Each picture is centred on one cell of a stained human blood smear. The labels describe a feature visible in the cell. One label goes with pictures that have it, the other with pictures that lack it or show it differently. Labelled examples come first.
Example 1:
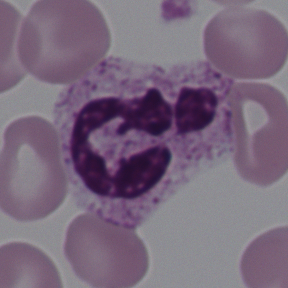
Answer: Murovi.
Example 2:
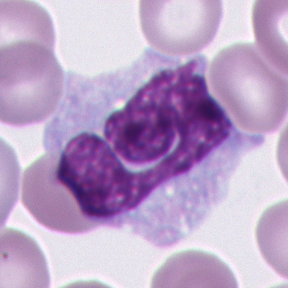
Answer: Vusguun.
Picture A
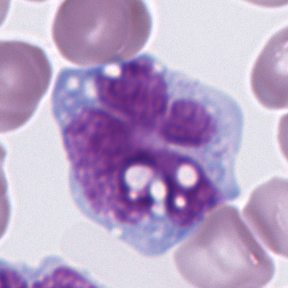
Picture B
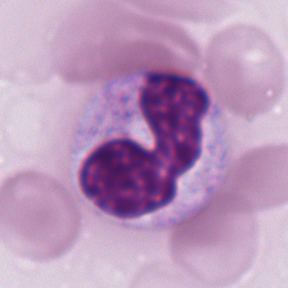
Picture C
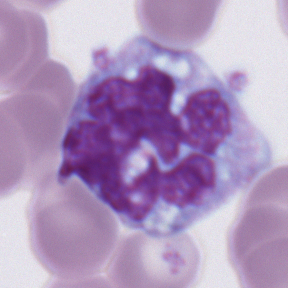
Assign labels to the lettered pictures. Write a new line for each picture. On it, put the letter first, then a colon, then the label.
A: Vusguun.
B: Murovi.
C: Vusguun.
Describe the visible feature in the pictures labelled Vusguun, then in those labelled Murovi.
In Vusguun: vacuoles present. In Murovi: no vacuoles.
